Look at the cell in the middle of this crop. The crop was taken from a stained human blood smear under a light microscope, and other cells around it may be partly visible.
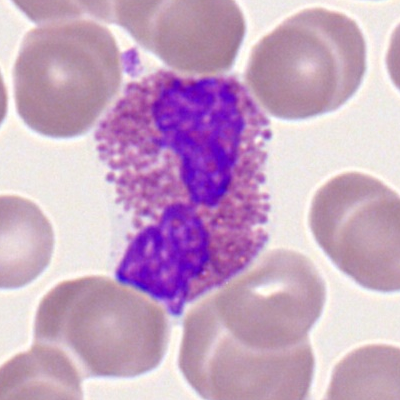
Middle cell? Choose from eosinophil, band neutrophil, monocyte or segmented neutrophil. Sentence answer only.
The cell at the centre of the field is an eosinophil.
